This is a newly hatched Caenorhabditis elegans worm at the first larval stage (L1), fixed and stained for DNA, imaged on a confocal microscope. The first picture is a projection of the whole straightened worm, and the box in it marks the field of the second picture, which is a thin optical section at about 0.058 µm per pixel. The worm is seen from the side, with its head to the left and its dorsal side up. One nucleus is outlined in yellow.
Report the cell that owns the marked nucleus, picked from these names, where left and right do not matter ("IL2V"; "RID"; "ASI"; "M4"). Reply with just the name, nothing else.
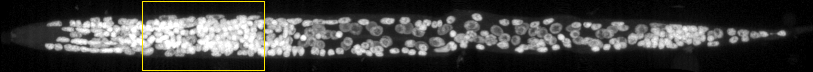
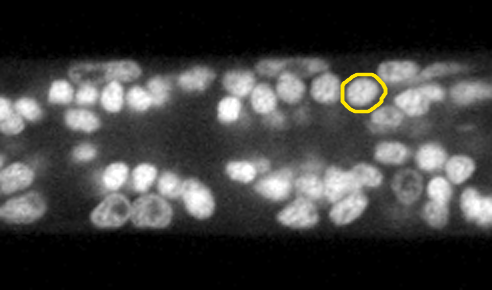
ASI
